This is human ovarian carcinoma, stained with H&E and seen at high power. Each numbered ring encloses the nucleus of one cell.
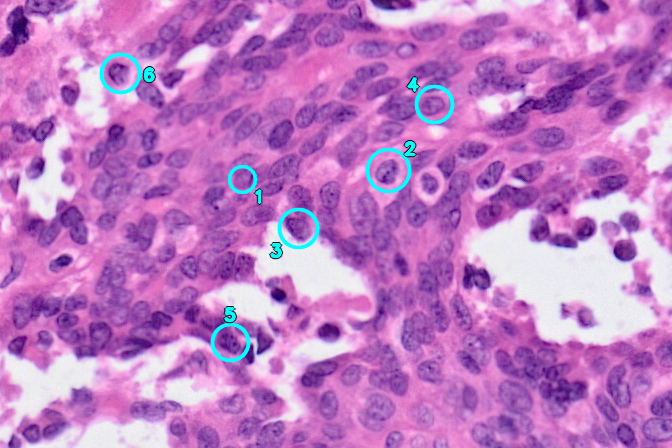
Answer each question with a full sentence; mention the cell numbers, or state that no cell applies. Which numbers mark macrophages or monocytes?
Within the section, cells numbered 2 and 6 are macrophages or monocytes.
